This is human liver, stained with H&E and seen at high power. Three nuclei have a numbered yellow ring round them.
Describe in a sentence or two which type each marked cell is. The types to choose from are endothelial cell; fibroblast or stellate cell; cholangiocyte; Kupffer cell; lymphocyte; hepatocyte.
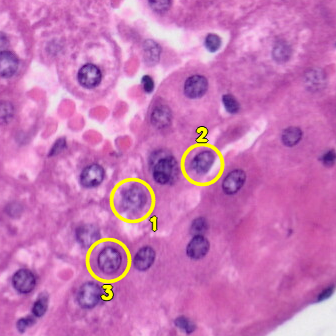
Cells 1 and 3 are hepatocytes. Cell 2 is a Kupffer cell.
